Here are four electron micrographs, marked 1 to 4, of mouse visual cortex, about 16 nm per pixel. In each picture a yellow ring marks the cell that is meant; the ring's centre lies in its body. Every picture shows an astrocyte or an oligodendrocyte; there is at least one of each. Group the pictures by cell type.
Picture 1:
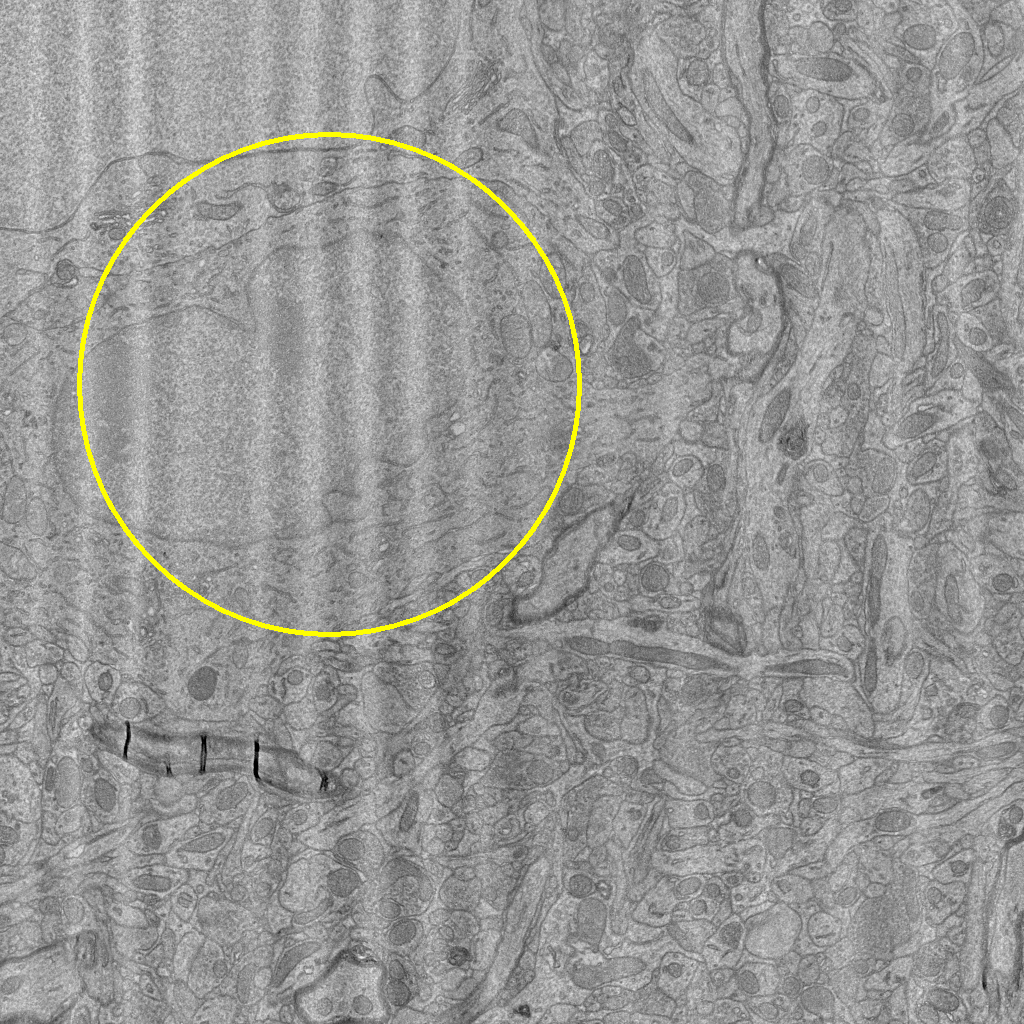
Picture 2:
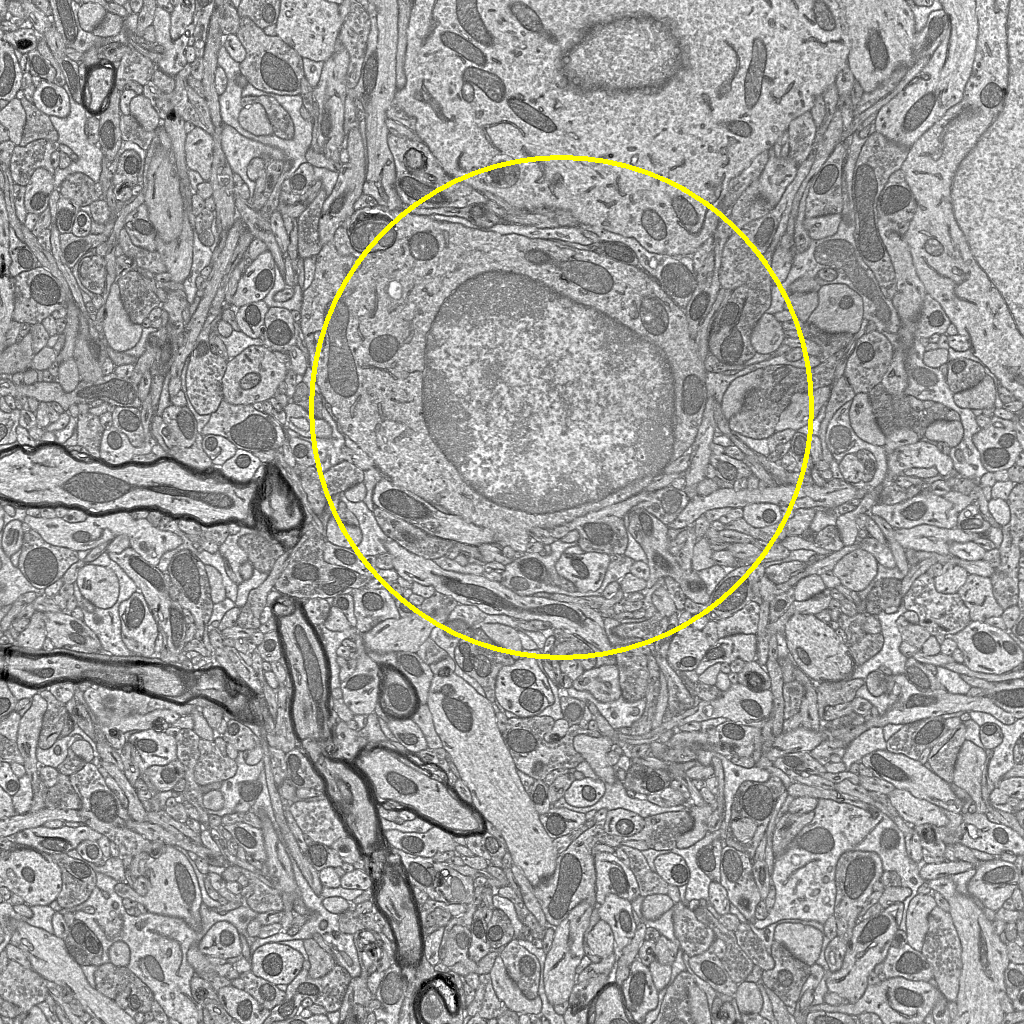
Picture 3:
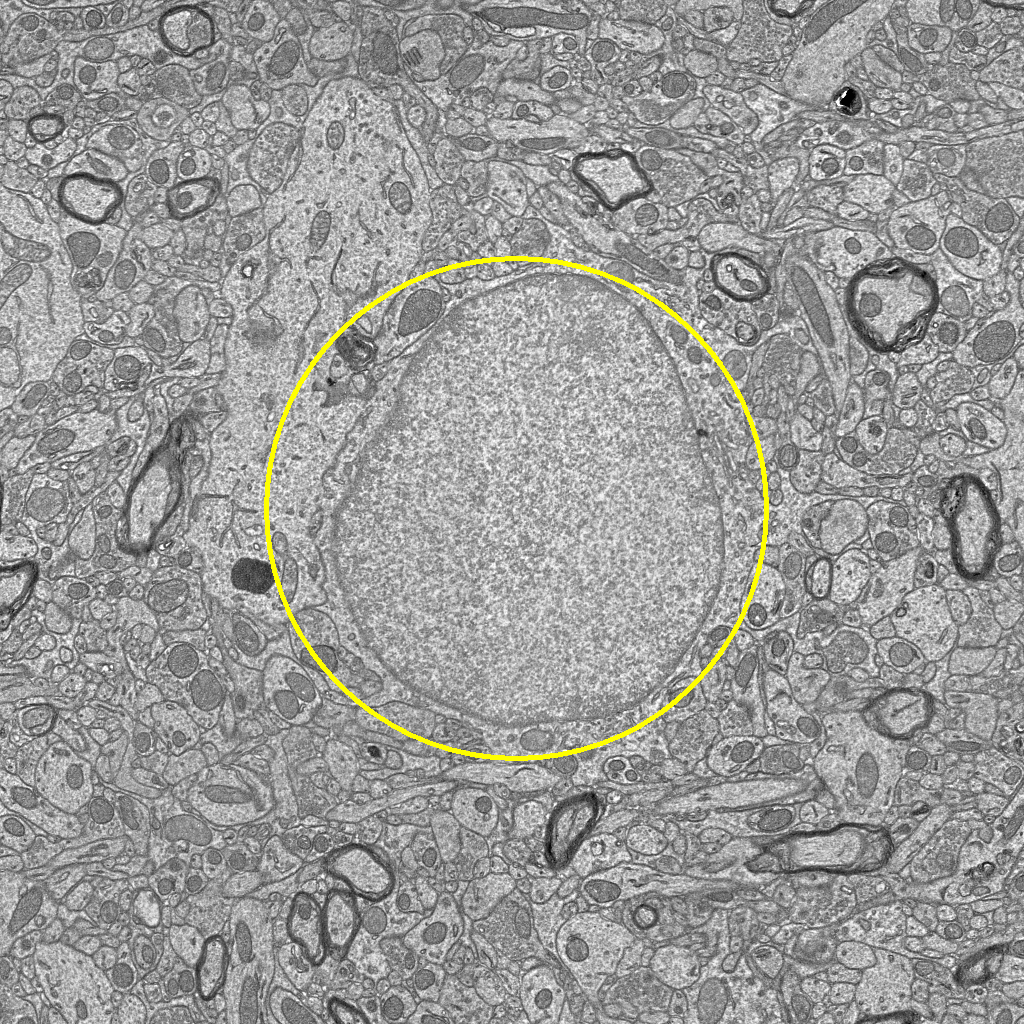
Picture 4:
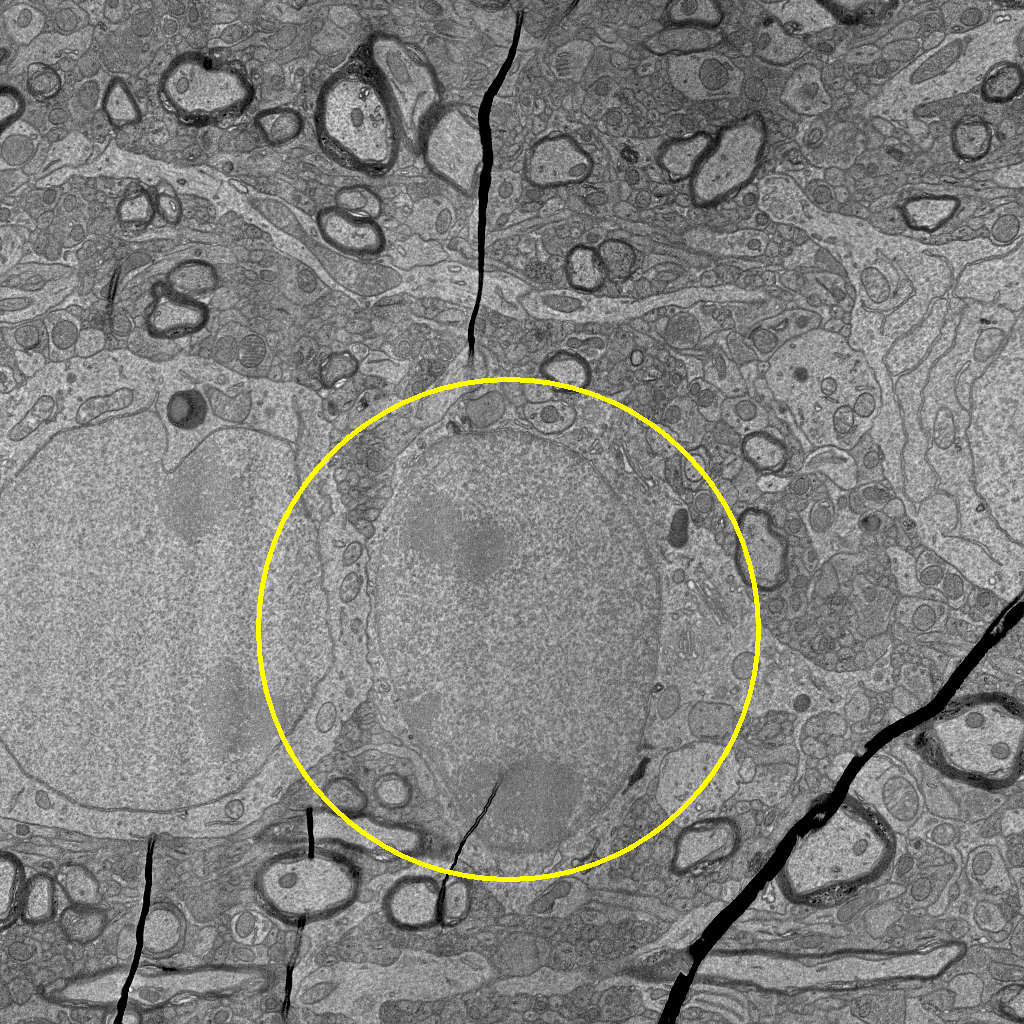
Pictures 3 and 4 show astrocytes, while pictures 1 and 2 show oligodendrocytes.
